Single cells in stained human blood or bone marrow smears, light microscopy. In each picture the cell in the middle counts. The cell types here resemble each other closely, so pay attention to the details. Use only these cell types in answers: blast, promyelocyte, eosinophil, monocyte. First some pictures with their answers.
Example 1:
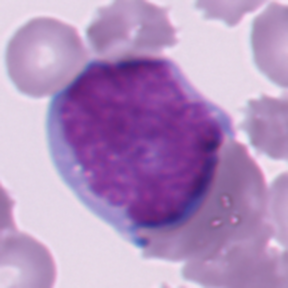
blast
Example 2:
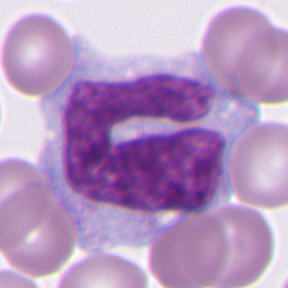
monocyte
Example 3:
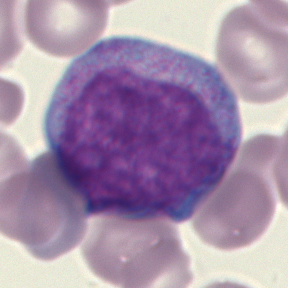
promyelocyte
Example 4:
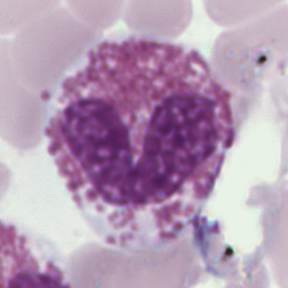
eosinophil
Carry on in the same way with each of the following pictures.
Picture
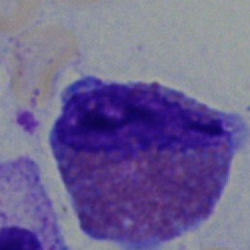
eosinophil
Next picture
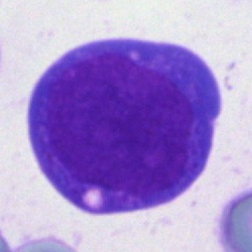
blast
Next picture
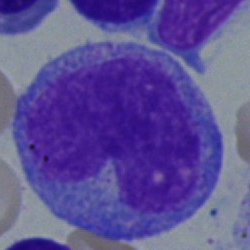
promyelocyte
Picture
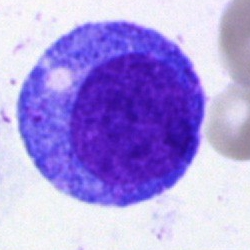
promyelocyte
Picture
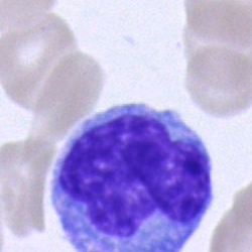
monocyte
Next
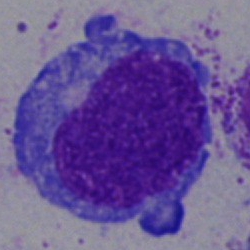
promyelocyte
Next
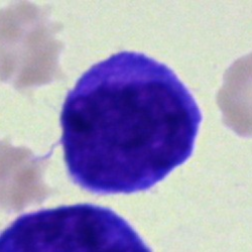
blast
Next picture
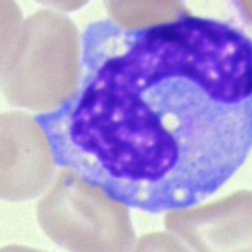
monocyte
